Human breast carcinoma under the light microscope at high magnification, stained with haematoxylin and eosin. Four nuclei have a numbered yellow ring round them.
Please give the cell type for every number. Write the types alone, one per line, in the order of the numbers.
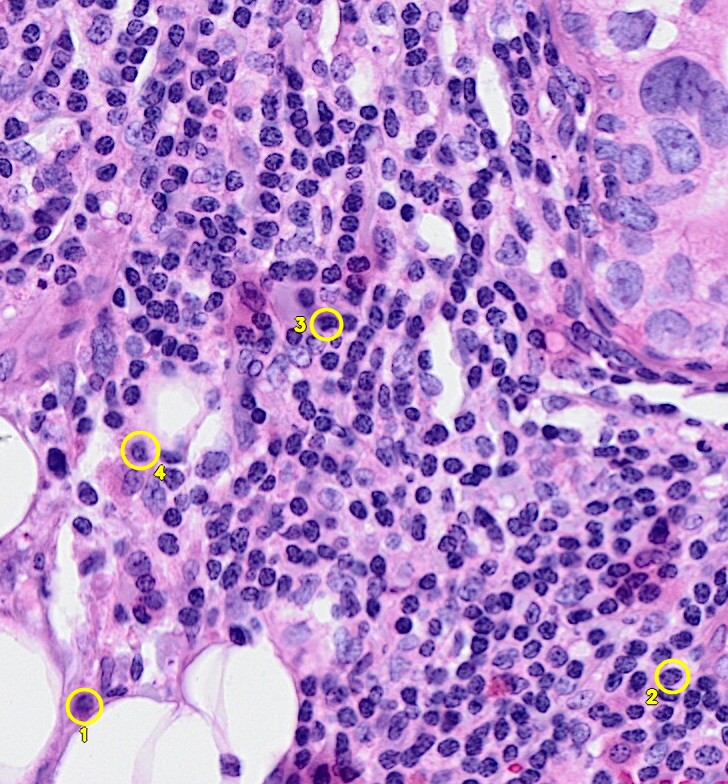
mast cell
lymphocyte
lymphocyte
lymphocyte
